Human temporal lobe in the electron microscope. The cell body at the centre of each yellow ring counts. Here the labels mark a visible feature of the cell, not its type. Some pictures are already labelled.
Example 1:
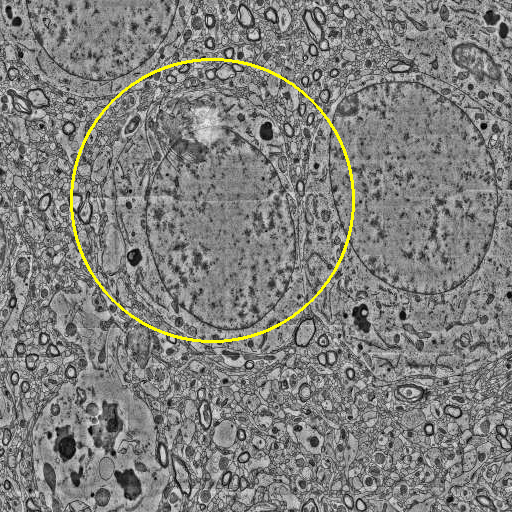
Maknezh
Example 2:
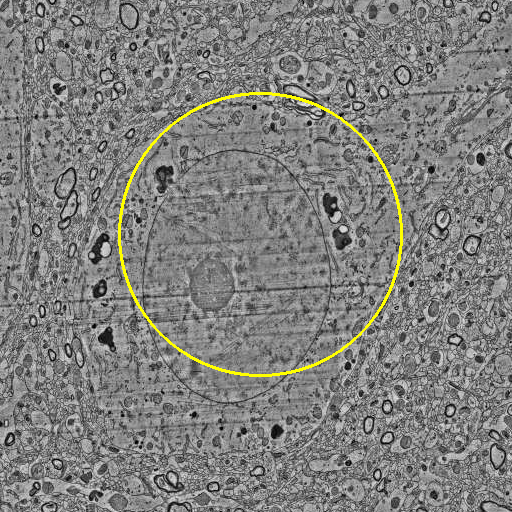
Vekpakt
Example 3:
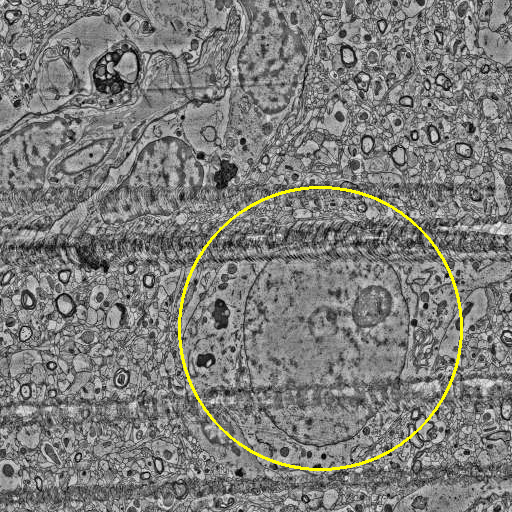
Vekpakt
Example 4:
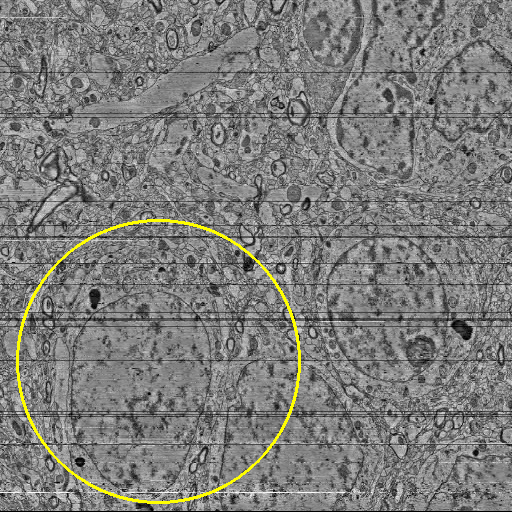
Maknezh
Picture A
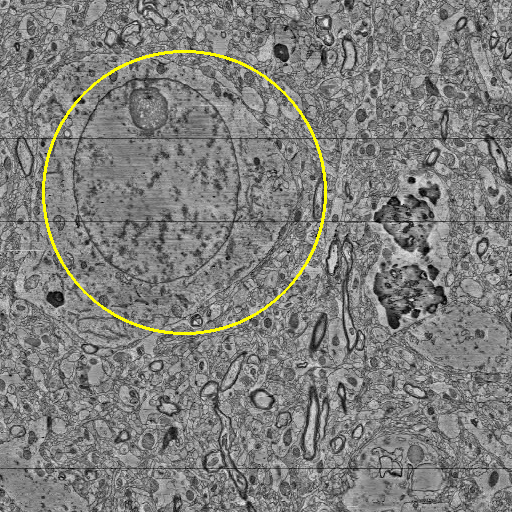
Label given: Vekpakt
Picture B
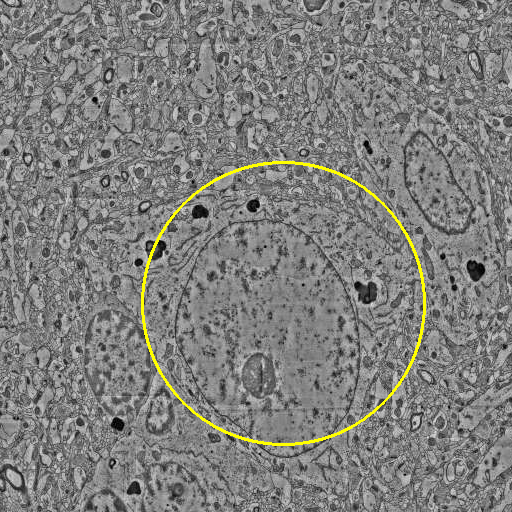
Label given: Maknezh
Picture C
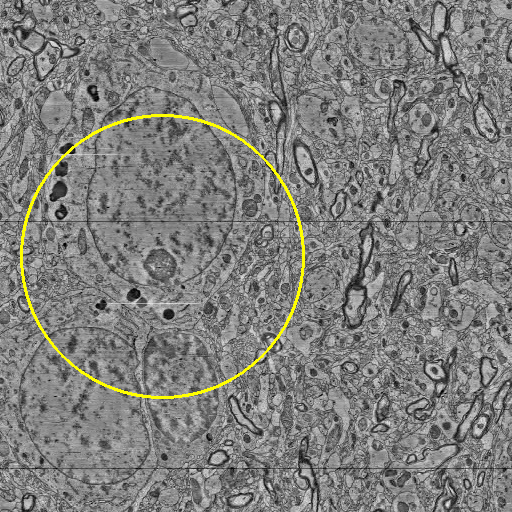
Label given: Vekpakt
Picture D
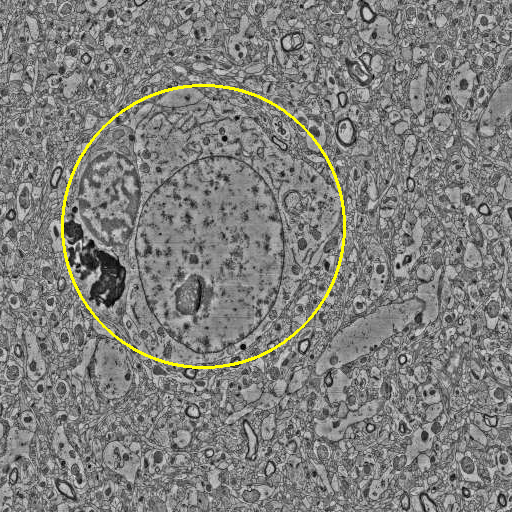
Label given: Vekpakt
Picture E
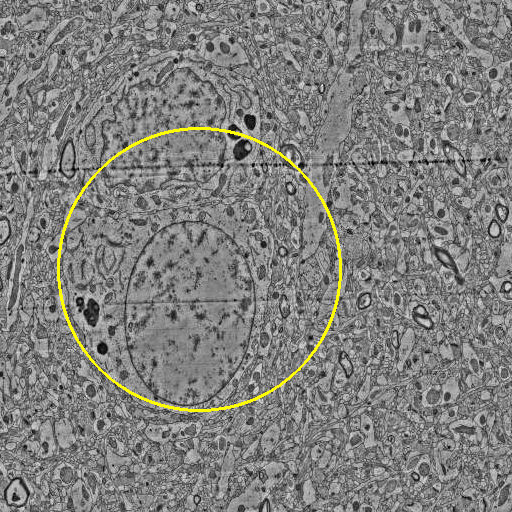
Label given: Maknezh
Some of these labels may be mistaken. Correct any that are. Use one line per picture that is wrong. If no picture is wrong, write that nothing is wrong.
B: Vekpakt, not Maknezh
